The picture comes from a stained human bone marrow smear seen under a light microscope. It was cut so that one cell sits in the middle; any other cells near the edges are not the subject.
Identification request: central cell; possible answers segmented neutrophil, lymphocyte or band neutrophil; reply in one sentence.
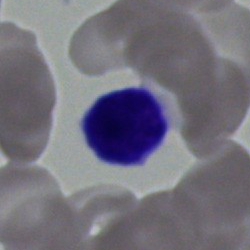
The cell around which this crop is centred is a lymphocyte.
